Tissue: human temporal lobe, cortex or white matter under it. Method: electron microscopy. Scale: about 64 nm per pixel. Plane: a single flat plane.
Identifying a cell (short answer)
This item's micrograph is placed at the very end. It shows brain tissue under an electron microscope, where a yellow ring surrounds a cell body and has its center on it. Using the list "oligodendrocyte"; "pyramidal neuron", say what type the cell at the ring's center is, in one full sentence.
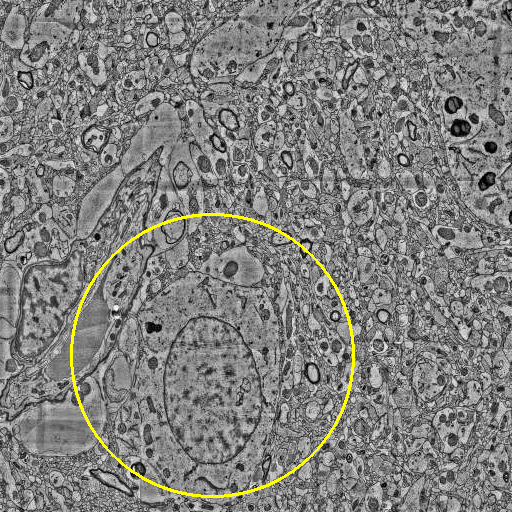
This picture shows a pyramidal neuron at the center of the yellow ring drawn on it.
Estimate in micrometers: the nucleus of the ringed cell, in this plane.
In this plane, the nucleus is roughly 10 by 6 micrometres.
